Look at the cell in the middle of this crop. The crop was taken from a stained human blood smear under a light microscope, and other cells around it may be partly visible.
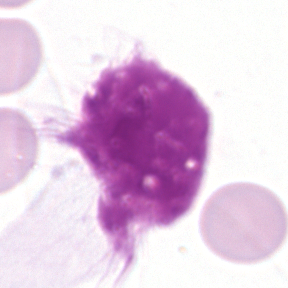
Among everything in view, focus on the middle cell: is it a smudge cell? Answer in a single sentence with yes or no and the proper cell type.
Yes, the cell in the middle has the identity of a smudge cell.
